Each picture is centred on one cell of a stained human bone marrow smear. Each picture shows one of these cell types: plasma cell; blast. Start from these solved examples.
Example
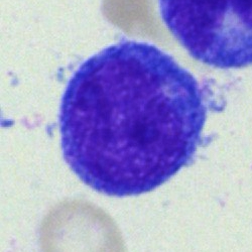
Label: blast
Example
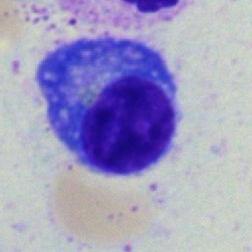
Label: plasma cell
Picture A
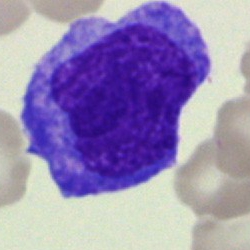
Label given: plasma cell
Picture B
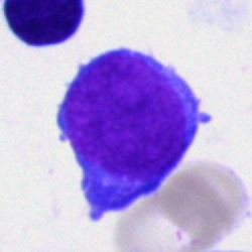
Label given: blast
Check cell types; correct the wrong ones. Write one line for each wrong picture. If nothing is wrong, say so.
A is labelled plasma cell; correct label: blast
